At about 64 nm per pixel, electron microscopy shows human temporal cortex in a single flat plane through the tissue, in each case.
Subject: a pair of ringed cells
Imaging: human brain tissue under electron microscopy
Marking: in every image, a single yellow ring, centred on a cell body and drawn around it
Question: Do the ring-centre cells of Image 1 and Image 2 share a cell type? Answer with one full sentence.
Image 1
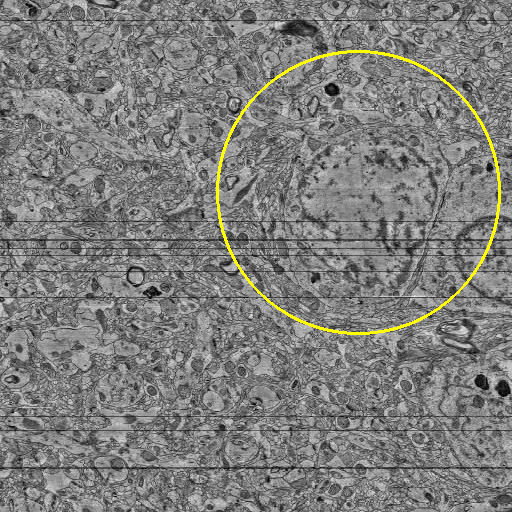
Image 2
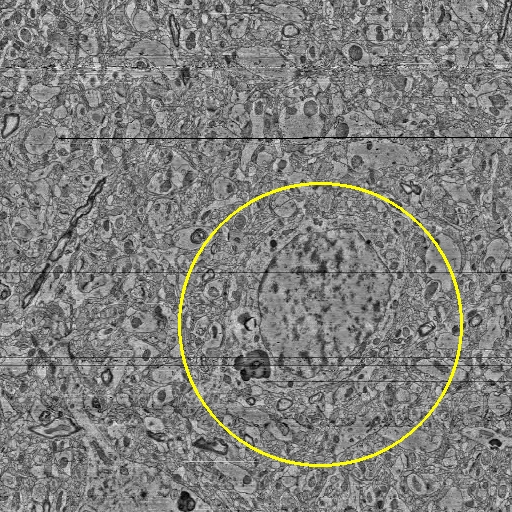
Yes, at each ring's centre in the images sits a cell of one common type.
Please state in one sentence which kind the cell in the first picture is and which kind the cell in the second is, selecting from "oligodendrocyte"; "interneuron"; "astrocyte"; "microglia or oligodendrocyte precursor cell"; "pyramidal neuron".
The cell in the first picture is an interneuron, and so is the one in the second.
